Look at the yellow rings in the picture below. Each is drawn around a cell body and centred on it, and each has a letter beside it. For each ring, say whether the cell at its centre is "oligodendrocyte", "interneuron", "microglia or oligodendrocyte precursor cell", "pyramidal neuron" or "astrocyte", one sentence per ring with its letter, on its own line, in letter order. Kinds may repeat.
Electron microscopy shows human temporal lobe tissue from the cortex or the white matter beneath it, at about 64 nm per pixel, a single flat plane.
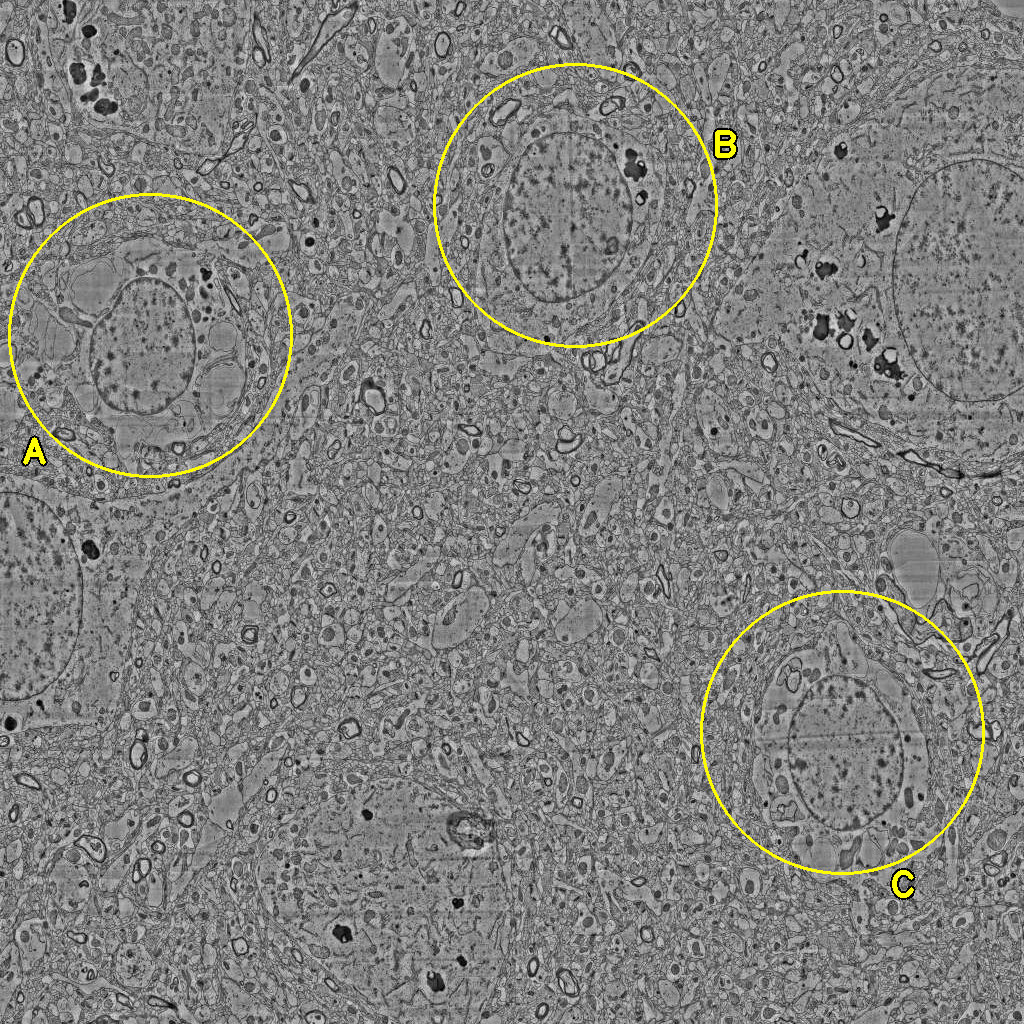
The centred cell of ring A is an astrocyte.
The centred cell of ring B is an interneuron.
The centred cell of ring C is an astrocyte.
